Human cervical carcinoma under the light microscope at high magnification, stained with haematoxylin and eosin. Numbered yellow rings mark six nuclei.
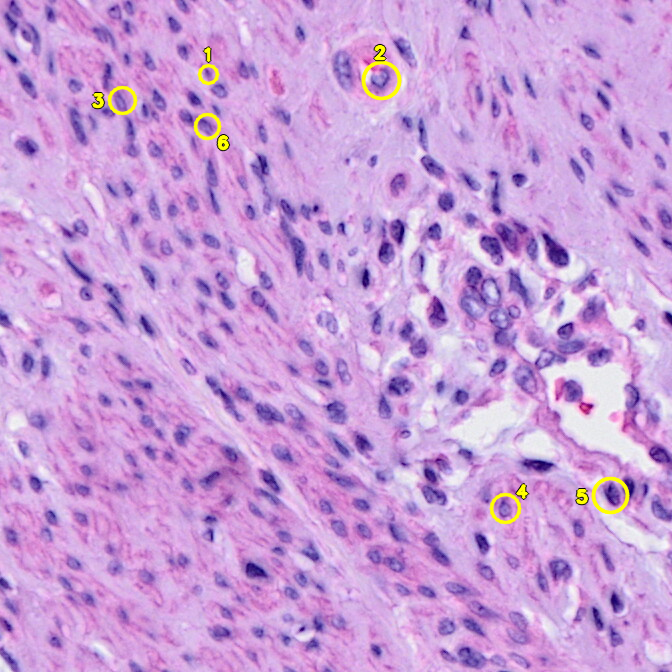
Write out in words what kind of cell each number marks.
Cell 1 is a smooth muscle cell, cell 2 is an endothelial cell, cell 3 is a smooth muscle cell, cell 4 is a smooth muscle cell, cell 5 is a lymphocyte and cell 6 is a smooth muscle cell.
